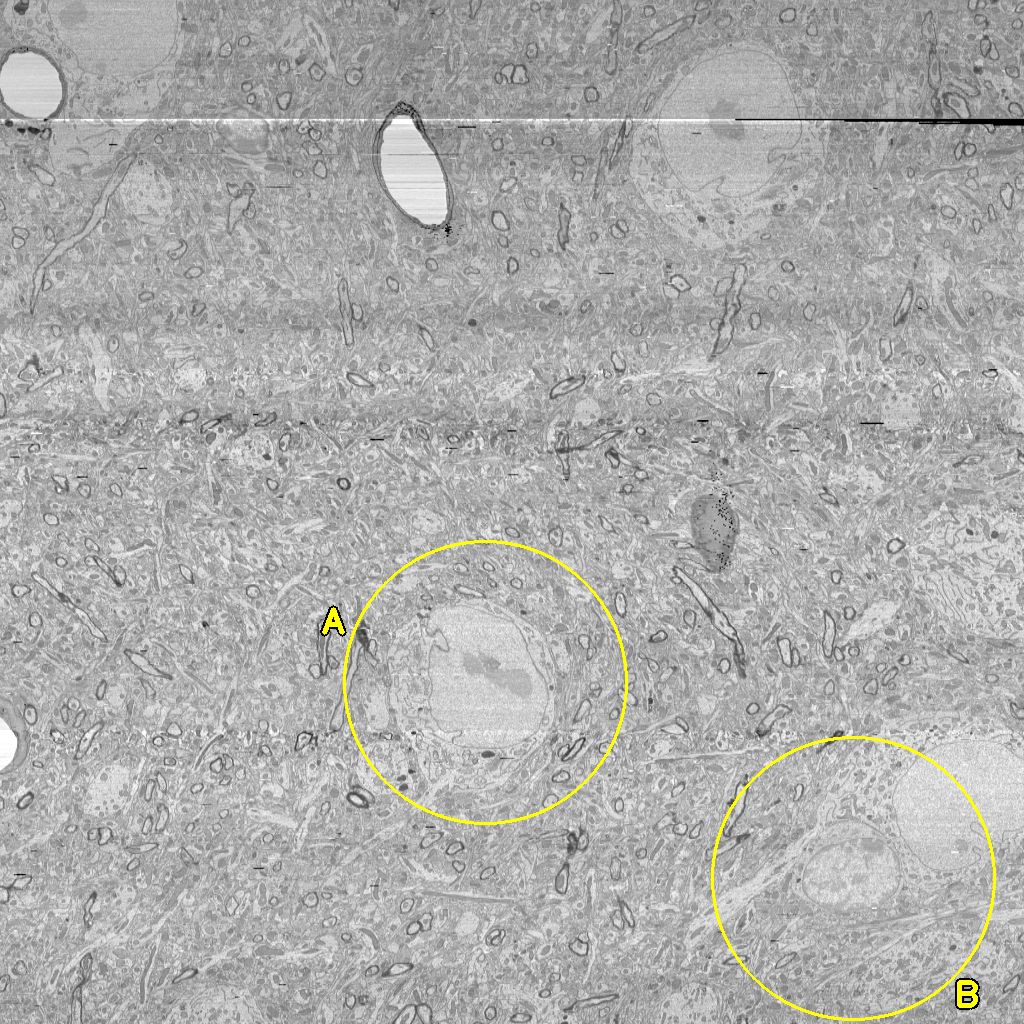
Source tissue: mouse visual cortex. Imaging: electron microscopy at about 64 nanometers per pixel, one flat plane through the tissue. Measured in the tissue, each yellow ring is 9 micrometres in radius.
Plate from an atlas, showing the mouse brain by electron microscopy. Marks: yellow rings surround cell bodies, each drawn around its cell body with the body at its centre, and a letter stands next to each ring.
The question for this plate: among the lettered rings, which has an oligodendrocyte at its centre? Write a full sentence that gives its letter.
Ring B holds at its centre the cell that the question asks about in the picture.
